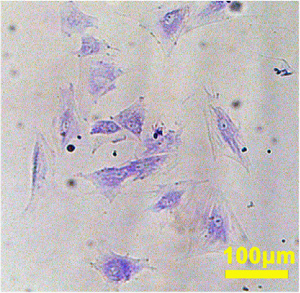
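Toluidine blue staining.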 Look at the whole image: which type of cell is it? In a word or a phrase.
Chondrocytes.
